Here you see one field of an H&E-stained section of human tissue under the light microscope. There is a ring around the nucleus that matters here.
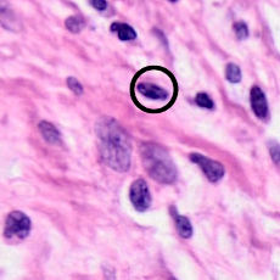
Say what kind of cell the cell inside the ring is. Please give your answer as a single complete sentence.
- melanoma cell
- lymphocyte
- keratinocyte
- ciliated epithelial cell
As to its cell type, the cell inside the ring is a lymphocyte.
